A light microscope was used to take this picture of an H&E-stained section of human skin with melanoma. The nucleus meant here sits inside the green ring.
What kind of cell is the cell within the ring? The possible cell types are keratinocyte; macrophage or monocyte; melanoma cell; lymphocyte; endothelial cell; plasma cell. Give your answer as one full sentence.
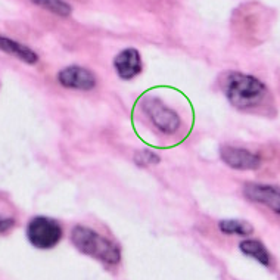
As to its cell type, the cell within the ring is a macrophage or monocyte.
